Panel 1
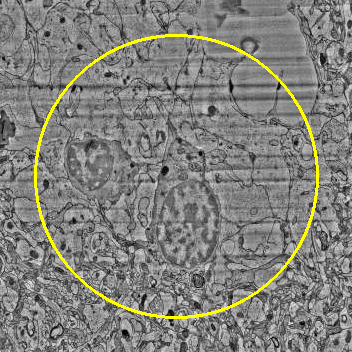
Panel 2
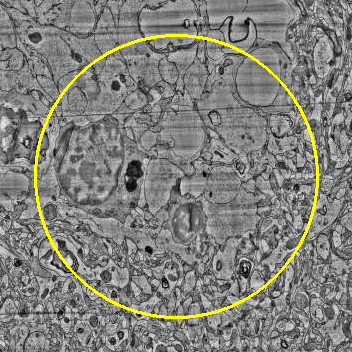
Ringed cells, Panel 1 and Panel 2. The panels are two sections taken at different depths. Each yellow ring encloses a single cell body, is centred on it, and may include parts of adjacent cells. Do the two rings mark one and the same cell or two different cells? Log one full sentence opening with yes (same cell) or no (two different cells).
Yes, these two rings point to one cell rather than two.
